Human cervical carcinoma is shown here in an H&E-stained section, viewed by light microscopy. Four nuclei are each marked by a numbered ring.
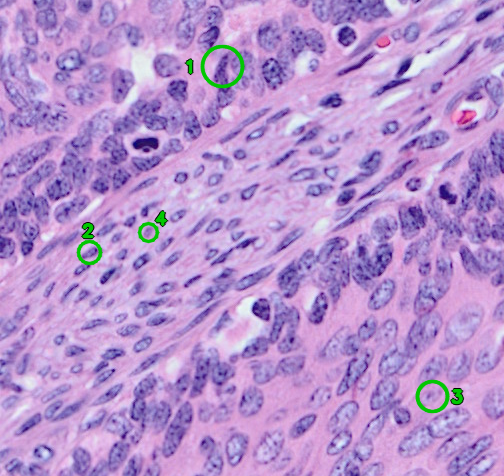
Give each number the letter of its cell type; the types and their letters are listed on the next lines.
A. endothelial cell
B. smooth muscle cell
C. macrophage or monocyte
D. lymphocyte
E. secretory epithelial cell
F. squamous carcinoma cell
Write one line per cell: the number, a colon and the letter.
1: F
2: B
3: F
4: B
